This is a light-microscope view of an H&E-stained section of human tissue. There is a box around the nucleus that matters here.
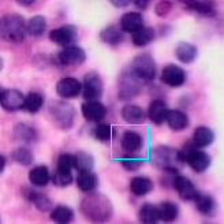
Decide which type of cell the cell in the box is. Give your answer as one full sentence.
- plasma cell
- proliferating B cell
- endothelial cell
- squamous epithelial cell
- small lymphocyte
Within this tissue, the cell in the box is a small lymphocyte.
